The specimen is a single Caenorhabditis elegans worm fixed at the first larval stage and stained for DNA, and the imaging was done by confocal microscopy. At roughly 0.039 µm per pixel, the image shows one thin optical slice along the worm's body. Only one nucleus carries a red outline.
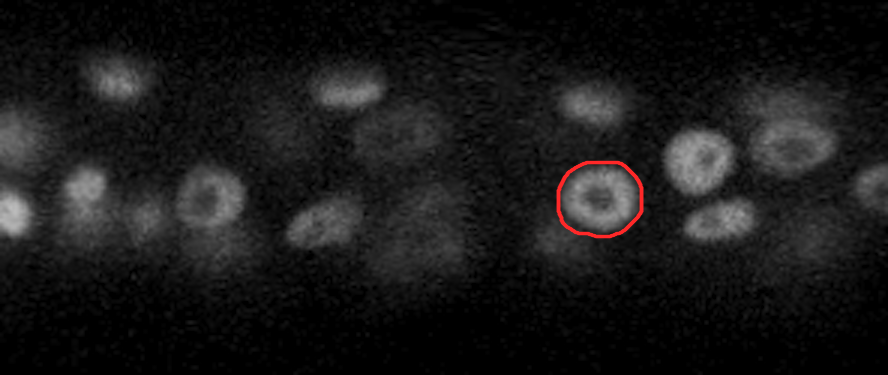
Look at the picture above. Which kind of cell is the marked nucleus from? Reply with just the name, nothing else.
Q neuroblast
